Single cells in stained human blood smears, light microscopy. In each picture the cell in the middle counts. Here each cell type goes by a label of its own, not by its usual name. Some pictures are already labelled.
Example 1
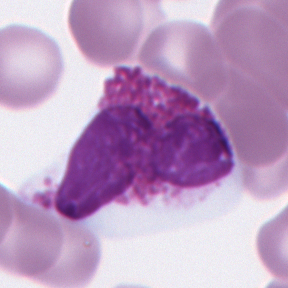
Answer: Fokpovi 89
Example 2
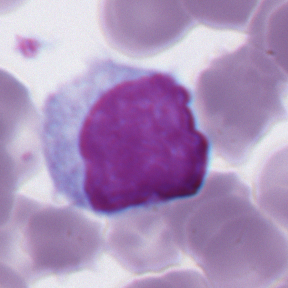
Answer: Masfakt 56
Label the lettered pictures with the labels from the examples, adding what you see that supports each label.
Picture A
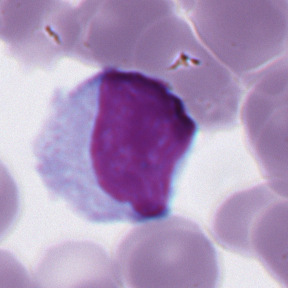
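Label: Masfakt 56. The cytoplasm shows only fine, faint lilac stippling.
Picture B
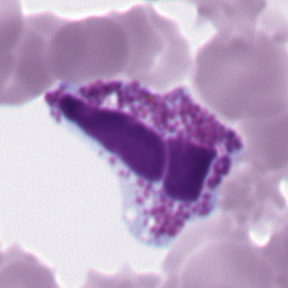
Label: Fokpovi 89. The nucleus is made of two lobes.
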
